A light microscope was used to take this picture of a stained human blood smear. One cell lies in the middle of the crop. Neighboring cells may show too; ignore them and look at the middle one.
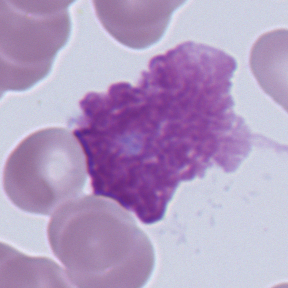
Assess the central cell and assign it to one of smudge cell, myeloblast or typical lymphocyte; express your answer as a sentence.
The middle cell in this particular crop is a smudge cell.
